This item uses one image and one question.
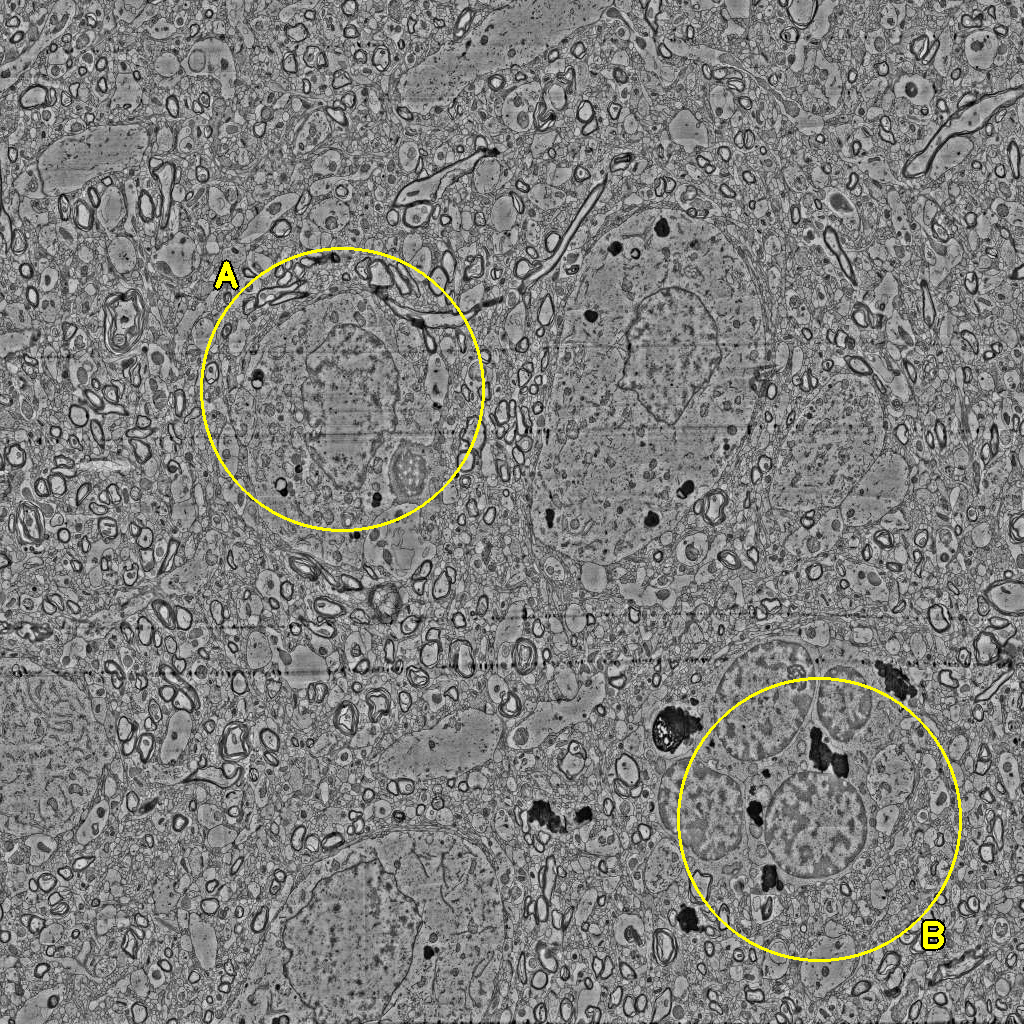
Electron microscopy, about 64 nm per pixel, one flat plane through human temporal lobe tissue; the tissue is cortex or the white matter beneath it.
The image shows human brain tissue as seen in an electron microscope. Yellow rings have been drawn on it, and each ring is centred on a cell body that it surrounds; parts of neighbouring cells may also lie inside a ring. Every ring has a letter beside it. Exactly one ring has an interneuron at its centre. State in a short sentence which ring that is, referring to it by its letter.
Ring A has that cell at its centre.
